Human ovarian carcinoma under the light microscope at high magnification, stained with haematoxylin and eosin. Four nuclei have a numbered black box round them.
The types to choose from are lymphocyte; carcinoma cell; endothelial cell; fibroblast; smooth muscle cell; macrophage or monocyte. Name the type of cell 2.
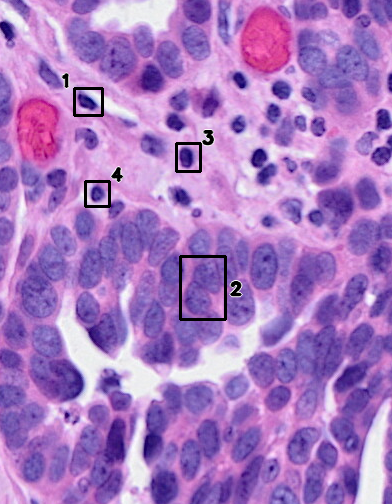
carcinoma cell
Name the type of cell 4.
lymphocyte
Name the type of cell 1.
lymphocyte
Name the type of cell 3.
lymphocyte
